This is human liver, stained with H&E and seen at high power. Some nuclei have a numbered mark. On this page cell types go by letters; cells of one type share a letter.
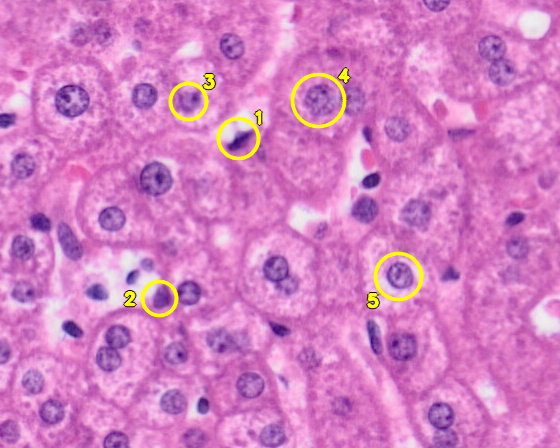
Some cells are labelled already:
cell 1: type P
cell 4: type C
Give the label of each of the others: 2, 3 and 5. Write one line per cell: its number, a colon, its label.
2: type P
3: type C
5: type C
